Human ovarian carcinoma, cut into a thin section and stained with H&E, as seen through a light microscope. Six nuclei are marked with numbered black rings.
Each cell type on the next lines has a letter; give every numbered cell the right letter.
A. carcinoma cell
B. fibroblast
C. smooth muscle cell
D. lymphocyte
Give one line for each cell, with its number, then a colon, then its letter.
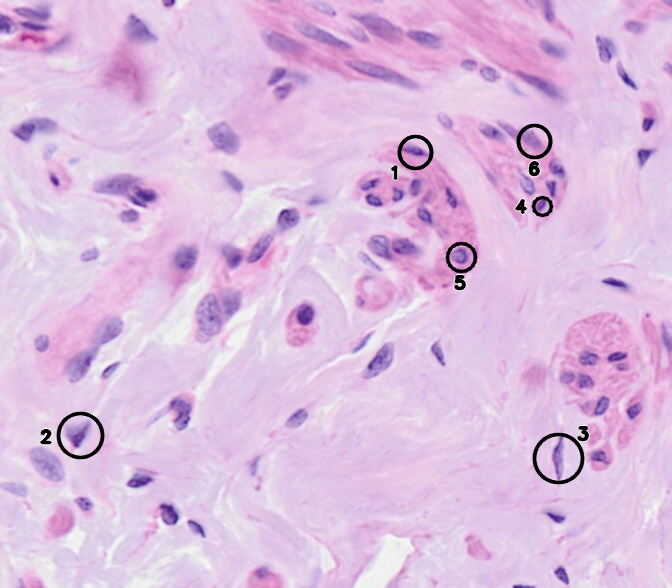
1: C
2: B
3: B
4: C
5: C
6: C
